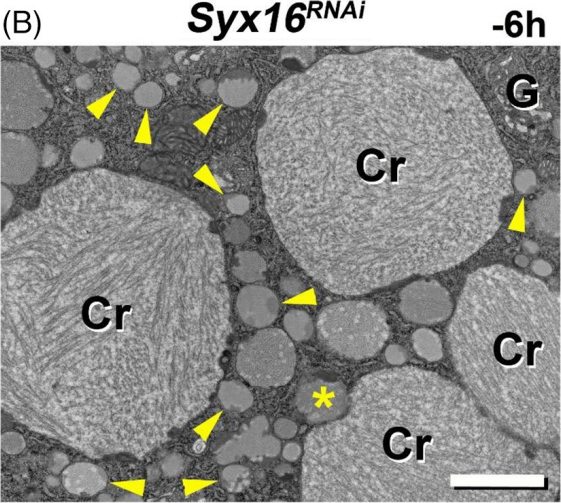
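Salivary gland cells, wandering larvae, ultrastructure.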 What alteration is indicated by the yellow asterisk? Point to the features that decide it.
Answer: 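The asterisk lies on a small vesicle directly abutting the rim of a large fibrous body. No clear gap separates the small vesicle from the large body.
Fusion of immature glue granule with a crinosome.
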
